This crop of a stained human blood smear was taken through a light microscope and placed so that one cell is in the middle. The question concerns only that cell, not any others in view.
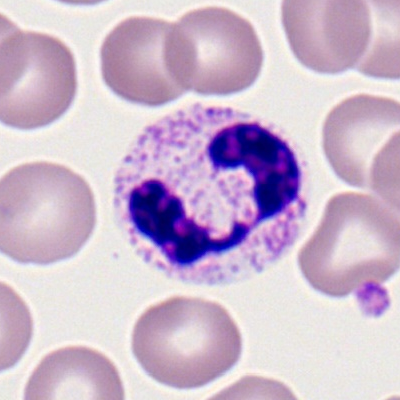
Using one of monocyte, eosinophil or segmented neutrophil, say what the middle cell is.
segmented neutrophil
